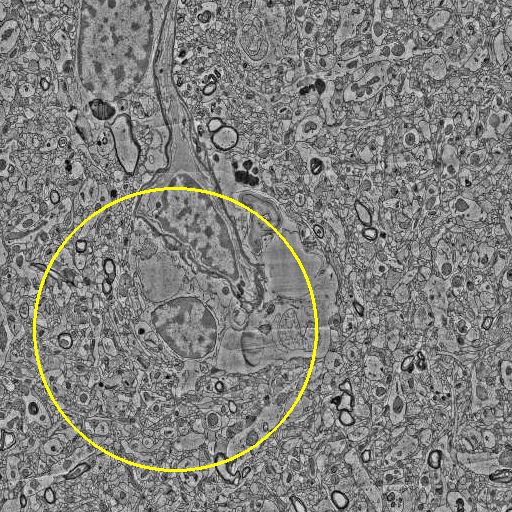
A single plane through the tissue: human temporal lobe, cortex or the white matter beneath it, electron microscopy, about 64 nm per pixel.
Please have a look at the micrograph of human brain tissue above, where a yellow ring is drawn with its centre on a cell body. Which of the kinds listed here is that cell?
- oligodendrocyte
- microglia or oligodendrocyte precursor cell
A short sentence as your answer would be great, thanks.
At the centre of the ring sits a microglial cell or oligodendrocyte precursor cell.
